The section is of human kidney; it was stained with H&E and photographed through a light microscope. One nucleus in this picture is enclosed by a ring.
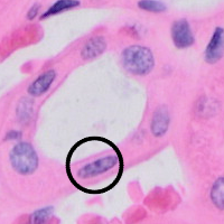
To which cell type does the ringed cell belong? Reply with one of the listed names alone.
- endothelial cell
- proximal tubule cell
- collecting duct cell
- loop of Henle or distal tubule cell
collecting duct cell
